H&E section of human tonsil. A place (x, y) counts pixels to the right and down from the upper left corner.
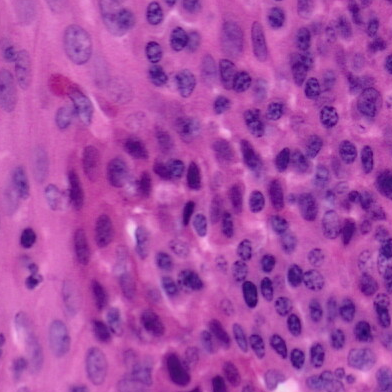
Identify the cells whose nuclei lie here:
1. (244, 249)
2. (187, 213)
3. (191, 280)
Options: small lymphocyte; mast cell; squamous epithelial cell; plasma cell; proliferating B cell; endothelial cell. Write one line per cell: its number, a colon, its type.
1: plasma cell
2: squamous epithelial cell
3: plasma cell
